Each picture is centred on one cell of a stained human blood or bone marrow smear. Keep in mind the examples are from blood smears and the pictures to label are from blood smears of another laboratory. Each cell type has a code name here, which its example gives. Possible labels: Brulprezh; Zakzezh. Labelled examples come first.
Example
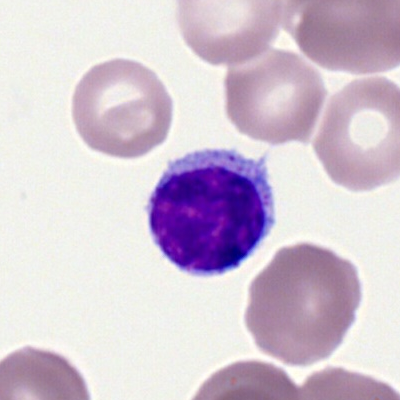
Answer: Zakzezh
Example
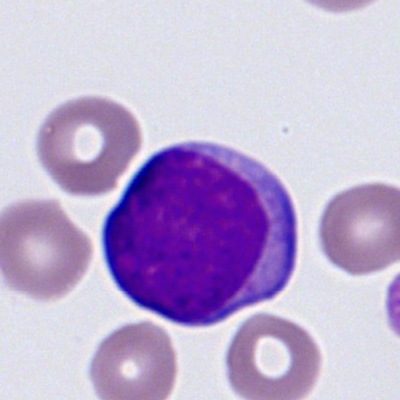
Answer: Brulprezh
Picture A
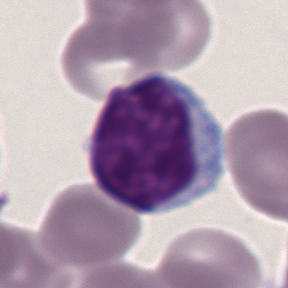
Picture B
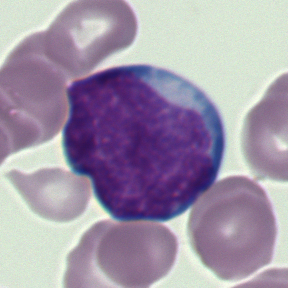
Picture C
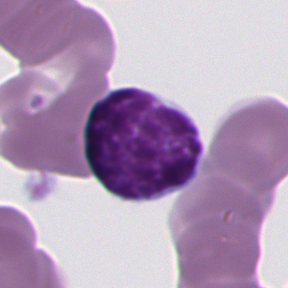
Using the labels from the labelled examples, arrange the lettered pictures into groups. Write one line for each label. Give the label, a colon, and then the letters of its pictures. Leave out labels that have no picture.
Brulprezh: B
Zakzezh: A, C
